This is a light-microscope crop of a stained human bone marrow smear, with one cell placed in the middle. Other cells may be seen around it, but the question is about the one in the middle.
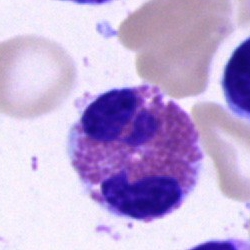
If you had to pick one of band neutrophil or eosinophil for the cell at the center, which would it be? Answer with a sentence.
The cell that lies at the centre of the crop is an eosinophil.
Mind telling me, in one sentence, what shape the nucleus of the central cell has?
The key feature is a nucleus with multiple lobes.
